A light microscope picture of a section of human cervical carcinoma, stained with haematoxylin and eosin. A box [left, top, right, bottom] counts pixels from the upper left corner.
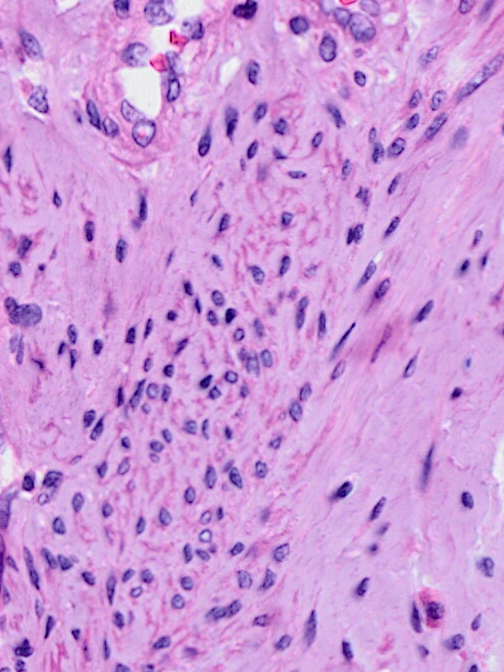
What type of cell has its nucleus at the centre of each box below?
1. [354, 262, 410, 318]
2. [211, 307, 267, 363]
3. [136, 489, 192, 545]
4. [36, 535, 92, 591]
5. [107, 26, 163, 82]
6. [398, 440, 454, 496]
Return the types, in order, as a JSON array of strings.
["smooth muscle cell", "smooth muscle cell", "smooth muscle cell", "fibroblast", "endothelial cell", "fibroblast"]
